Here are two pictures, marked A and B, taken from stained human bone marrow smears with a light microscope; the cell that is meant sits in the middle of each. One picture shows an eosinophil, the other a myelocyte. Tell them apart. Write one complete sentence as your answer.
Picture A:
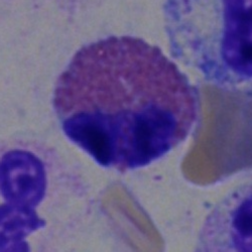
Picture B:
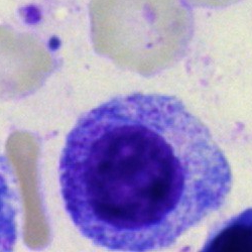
In picture A the cell is an eosinophil; in picture B, a myelocyte.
